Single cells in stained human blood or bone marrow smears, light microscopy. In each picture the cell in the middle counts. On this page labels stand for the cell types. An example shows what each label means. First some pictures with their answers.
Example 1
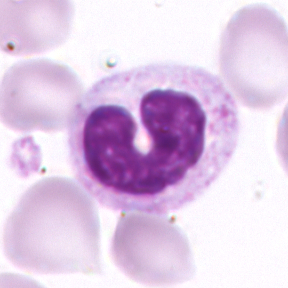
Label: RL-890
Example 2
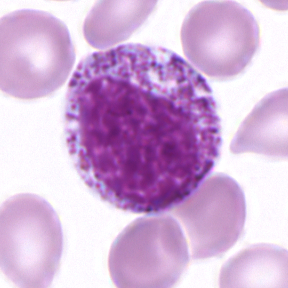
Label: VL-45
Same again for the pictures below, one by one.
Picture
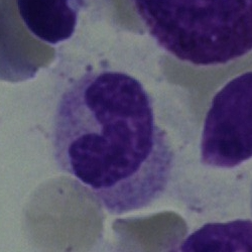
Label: RL-890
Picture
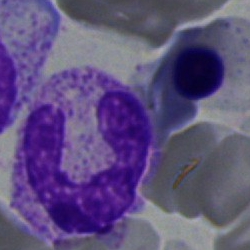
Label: RL-890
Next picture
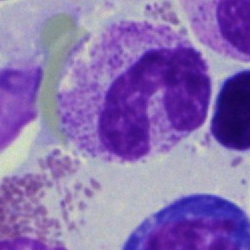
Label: RL-890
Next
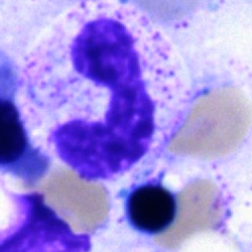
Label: RL-890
